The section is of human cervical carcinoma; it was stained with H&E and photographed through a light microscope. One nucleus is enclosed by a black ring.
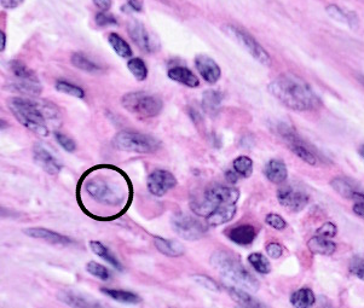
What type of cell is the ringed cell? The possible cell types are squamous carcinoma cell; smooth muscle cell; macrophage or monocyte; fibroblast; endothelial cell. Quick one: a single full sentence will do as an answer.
Speaking plainly, the ringed cell is nothing other than an endothelial cell.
